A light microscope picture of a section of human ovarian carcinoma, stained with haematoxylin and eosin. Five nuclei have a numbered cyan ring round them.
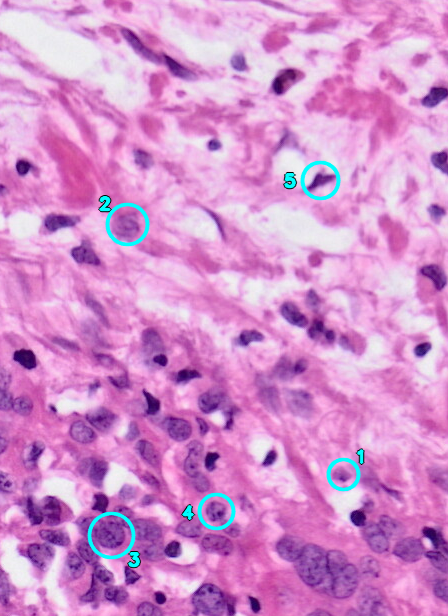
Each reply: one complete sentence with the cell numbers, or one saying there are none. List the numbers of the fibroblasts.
Within this tissue, the cells numbered 1, 2 and 5 are fibroblasts.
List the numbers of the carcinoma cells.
As for the numbered cells, only cell 3 is a carcinoma cell.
